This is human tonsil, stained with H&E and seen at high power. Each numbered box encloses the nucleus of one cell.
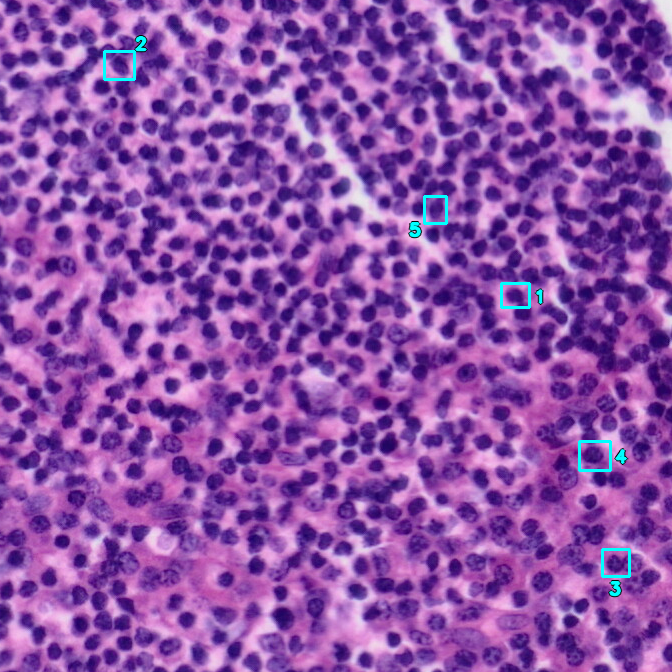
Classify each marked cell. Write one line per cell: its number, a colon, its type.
1: small lymphocyte
2: small lymphocyte
3: plasma cell
4: plasma cell
5: small lymphocyte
